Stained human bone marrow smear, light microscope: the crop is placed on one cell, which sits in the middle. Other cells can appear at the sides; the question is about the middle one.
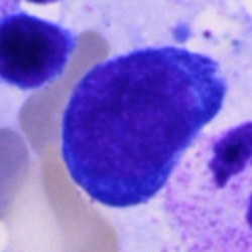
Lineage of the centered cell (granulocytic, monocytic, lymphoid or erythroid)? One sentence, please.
The cell in the middle of the crop is considered part of the erythroid lineage.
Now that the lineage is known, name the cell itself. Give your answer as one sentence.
The cell of interest, in the center, is a proerythroblast.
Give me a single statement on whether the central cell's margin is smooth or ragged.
Its surface contour is regular and smooth, without any protrusions.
